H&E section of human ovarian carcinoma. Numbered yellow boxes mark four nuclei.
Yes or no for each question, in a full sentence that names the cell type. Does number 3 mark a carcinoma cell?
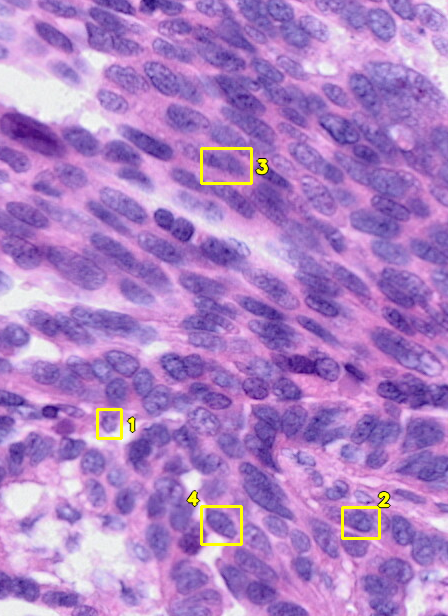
Yes, in this section the cell numbered 3 is a carcinoma cell.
